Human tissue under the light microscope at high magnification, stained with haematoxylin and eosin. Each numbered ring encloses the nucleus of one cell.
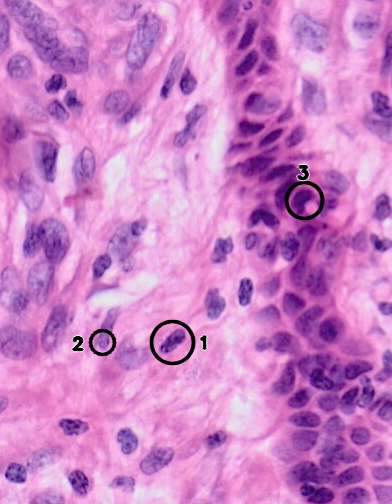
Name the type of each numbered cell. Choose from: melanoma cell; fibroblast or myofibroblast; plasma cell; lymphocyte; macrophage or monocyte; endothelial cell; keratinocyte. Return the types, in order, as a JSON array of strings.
["lymphocyte", "macrophage or monocyte", "keratinocyte"]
